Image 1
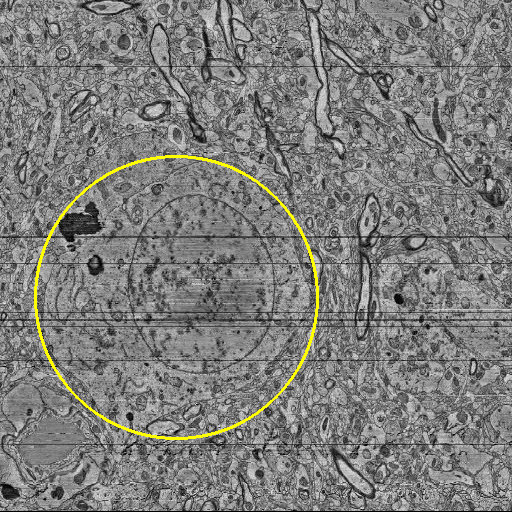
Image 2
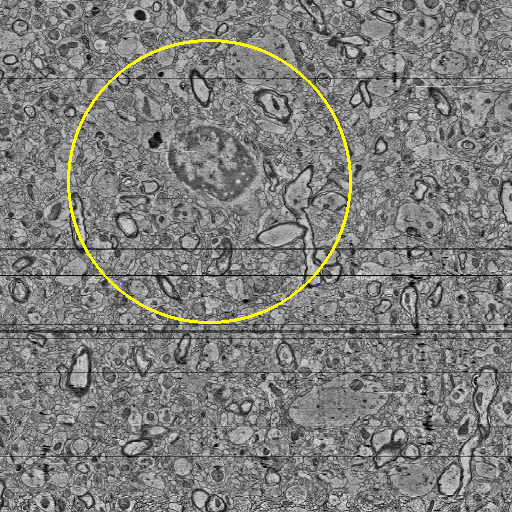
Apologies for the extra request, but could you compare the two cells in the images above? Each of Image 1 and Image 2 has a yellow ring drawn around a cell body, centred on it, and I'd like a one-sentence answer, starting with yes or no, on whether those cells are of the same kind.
No, the two cells are of two kinds.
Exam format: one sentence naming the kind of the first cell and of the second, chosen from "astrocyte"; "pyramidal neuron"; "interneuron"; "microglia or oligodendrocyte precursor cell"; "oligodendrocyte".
The first picture's cell is a pyramidal neuron, and the second picture's cell is an oligodendrocyte.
